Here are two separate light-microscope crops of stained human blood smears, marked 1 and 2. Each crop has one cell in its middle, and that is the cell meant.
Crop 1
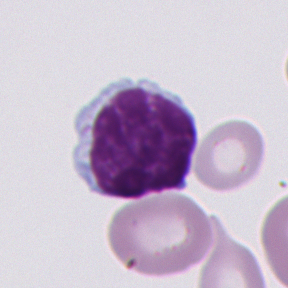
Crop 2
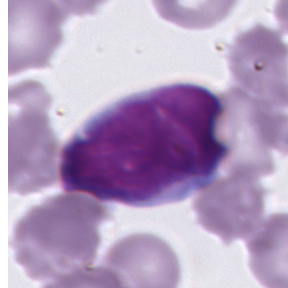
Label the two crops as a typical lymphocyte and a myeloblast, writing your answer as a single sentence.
The centred cell is a typical lymphocyte in crop 1 and a myeloblast in crop 2.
